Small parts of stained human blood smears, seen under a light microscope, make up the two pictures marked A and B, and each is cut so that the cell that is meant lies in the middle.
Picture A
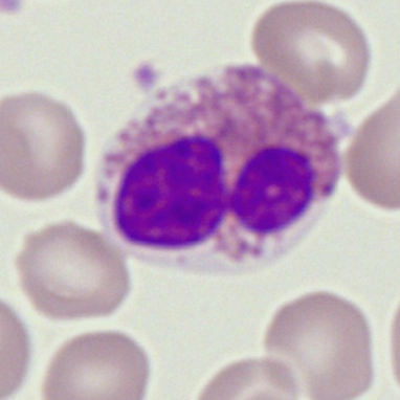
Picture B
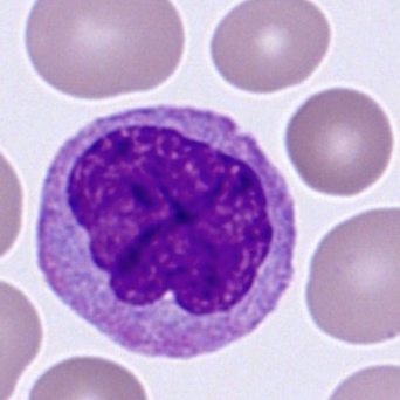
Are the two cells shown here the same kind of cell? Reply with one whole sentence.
No. Picture A shows an eosinophil, but picture B shows a monocyte.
